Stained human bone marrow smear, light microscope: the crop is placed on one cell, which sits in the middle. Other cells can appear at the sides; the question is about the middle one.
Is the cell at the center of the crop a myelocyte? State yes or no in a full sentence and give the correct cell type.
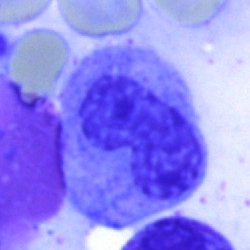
No, the middle cell is not a myelocyte, it being a metamyelocyte.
